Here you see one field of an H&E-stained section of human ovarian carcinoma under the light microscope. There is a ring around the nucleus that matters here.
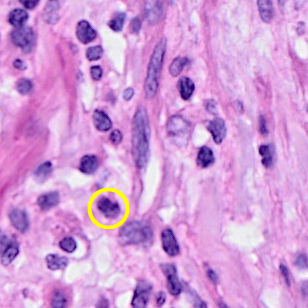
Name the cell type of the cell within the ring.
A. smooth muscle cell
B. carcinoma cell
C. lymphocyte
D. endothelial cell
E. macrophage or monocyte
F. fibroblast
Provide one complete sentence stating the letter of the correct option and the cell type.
Option C gets it right, as the cell within the ring is a lymphocyte.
